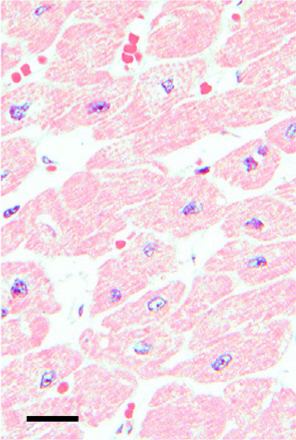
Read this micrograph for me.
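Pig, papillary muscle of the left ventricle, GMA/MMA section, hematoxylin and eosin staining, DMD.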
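The fibers are fairly small and numerous in the field, irregular in outline, and many show a central oval nucleus with blue-purple chromatin. Narrow pale interstitial spaces lie between the fibers and contain small dark nuclei and bright red blood cells, some in small clusters.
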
